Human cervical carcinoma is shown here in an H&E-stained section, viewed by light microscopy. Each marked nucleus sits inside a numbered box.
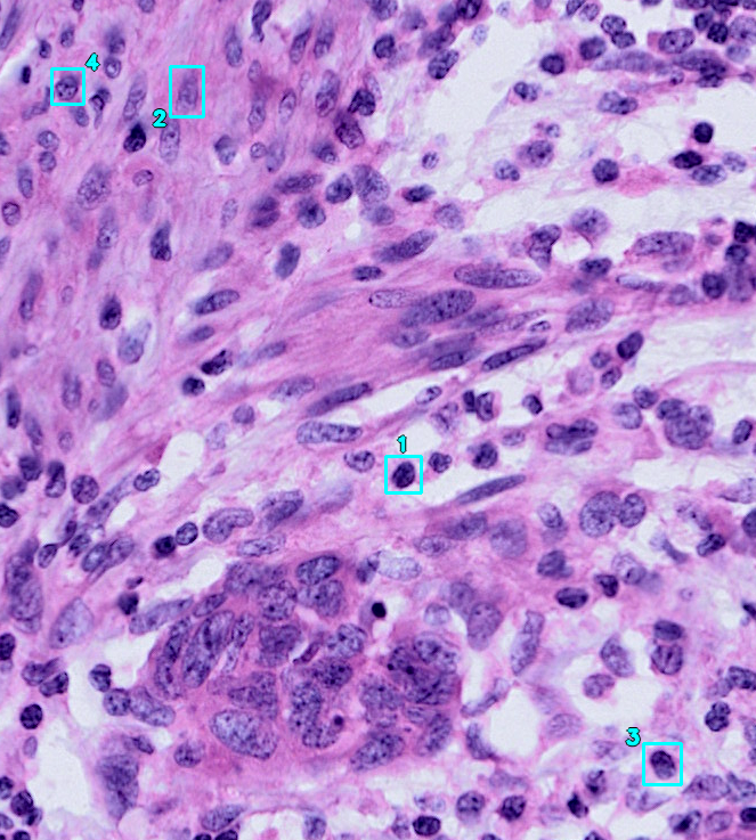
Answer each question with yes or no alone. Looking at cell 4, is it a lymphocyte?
no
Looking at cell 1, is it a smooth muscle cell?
no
